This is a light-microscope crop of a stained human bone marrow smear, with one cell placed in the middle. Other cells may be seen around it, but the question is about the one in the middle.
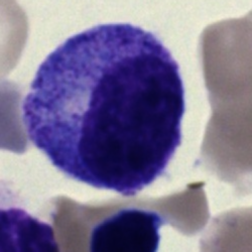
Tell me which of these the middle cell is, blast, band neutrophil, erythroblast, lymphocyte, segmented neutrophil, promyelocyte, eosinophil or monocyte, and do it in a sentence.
Answering briefly, the cell in the middle is a promyelocyte.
